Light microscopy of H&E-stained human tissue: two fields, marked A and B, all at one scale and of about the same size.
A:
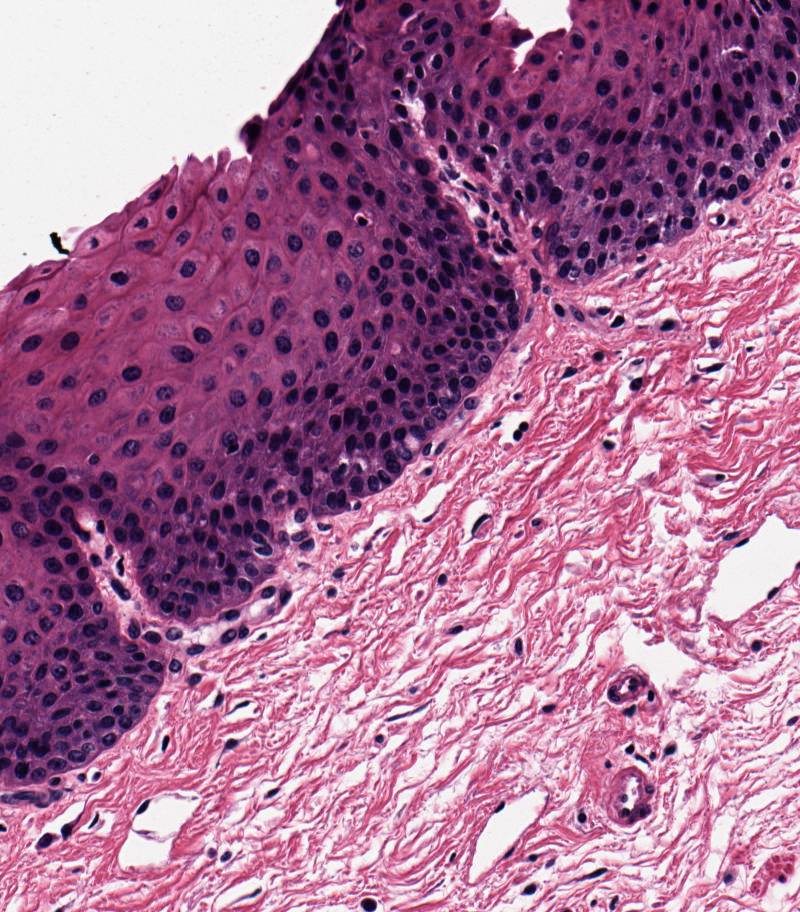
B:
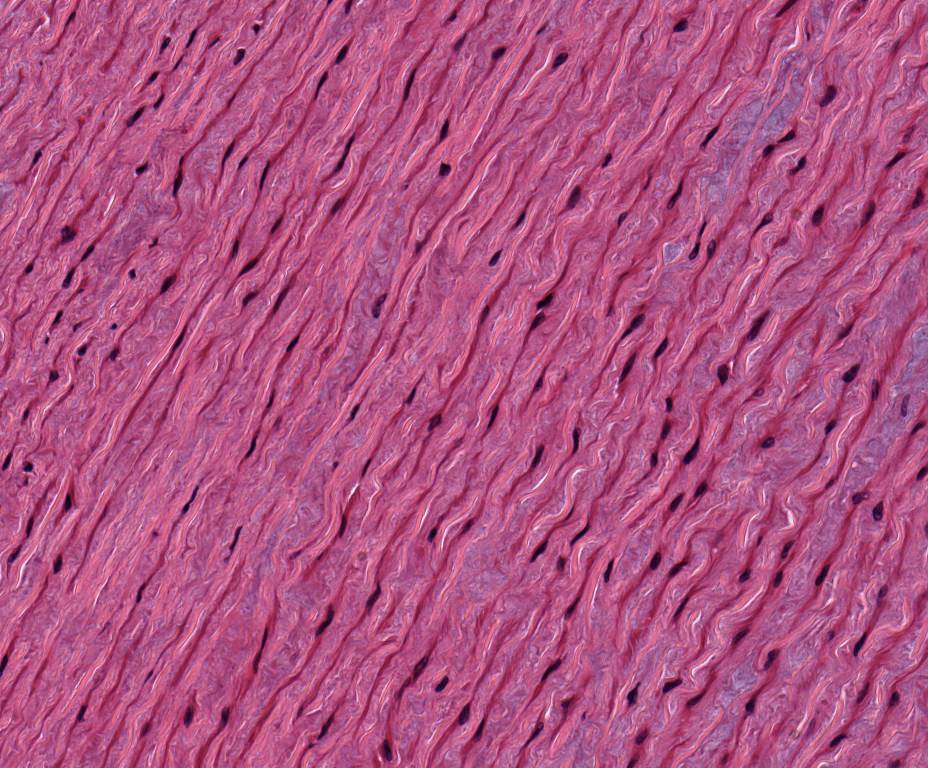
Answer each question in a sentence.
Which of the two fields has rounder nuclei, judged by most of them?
The nuclei are rounder in field A.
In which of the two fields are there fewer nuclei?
Fewer nuclei lie in field B than in field A.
